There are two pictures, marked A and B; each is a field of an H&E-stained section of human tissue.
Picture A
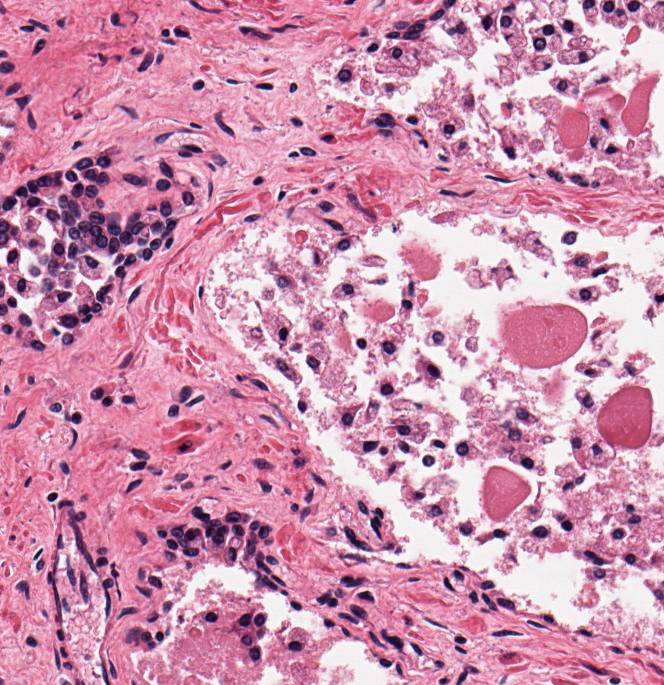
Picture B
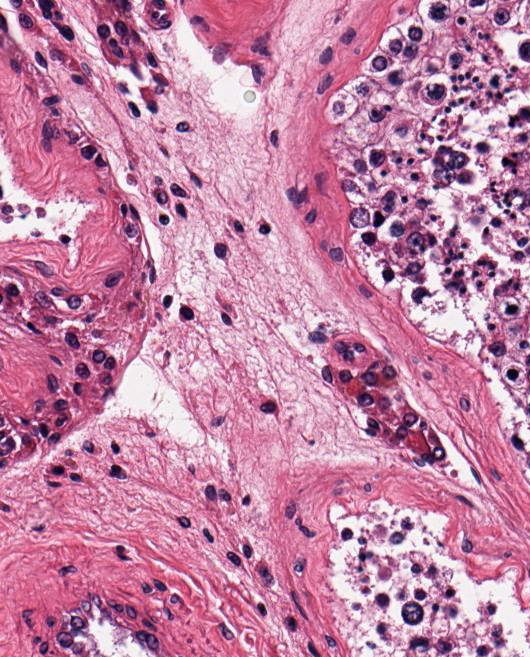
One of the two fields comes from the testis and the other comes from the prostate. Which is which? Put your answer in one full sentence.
Picture B comes from the testis, while picture A comes from the prostate.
